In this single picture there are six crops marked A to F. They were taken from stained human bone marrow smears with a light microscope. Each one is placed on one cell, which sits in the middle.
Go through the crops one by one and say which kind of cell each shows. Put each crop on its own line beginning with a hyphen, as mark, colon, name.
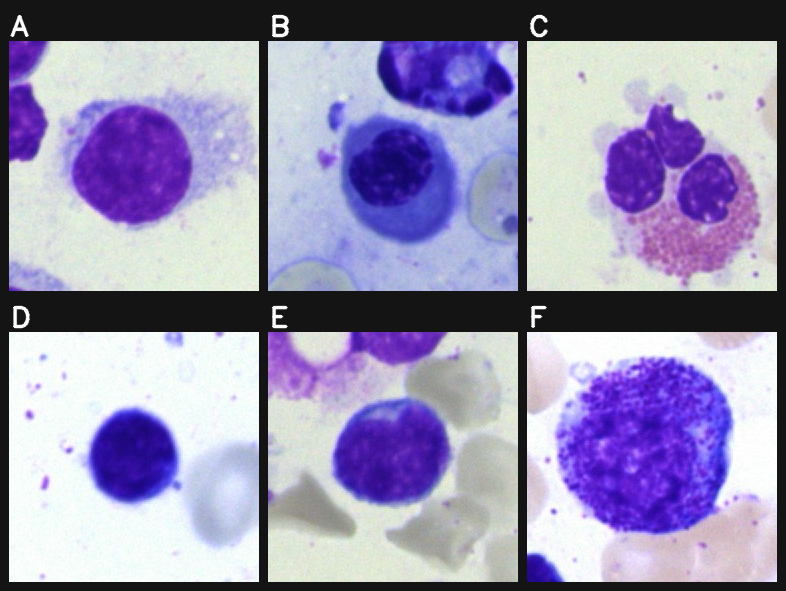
- A: hairy cell
- B: erythroblast
- C: basophil
- D: lymphocyte
- E: blast
- F: promyelocyte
